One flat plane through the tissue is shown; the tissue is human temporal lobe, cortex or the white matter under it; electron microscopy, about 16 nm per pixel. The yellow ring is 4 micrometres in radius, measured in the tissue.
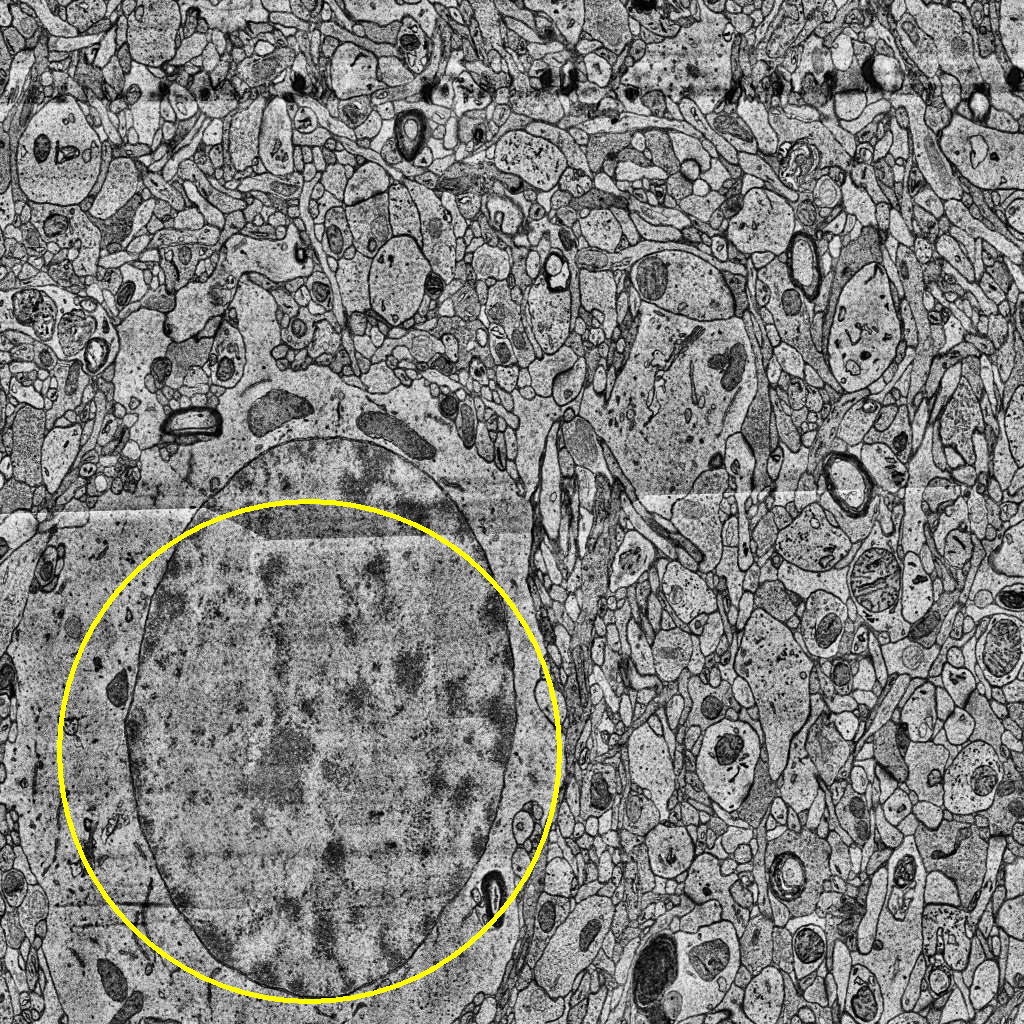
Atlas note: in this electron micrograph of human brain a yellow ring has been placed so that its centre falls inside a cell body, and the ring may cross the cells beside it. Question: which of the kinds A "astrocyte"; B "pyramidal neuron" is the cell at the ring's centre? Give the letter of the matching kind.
A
